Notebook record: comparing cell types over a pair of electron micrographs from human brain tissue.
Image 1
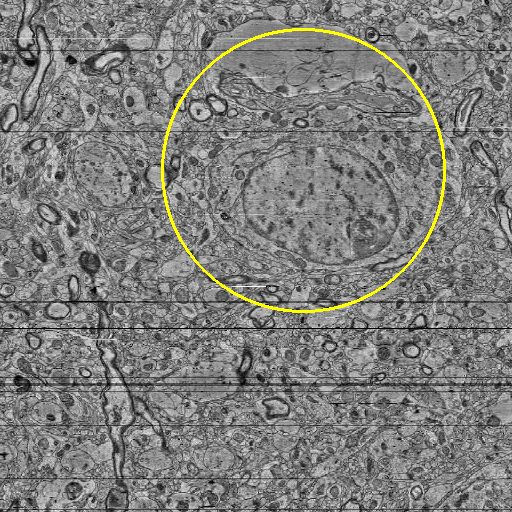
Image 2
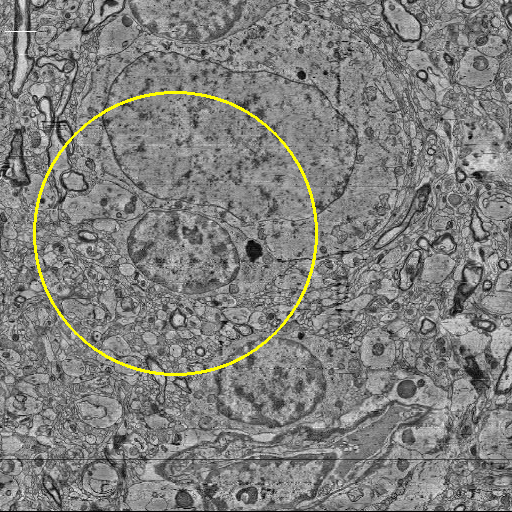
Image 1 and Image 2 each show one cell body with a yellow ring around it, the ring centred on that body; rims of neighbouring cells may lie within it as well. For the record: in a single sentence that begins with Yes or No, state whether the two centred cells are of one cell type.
No, two cell types are found among the centred cells of Image 1 and Image 2.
